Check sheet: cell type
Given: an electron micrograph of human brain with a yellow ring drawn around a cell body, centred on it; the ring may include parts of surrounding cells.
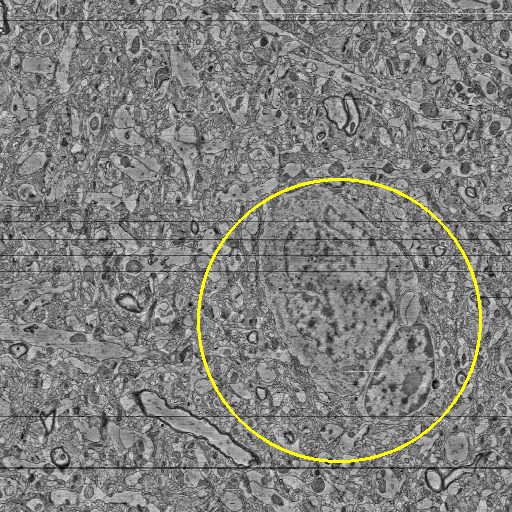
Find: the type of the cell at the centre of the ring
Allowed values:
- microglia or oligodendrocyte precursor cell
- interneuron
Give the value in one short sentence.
Here the ringed cell is an interneuron.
